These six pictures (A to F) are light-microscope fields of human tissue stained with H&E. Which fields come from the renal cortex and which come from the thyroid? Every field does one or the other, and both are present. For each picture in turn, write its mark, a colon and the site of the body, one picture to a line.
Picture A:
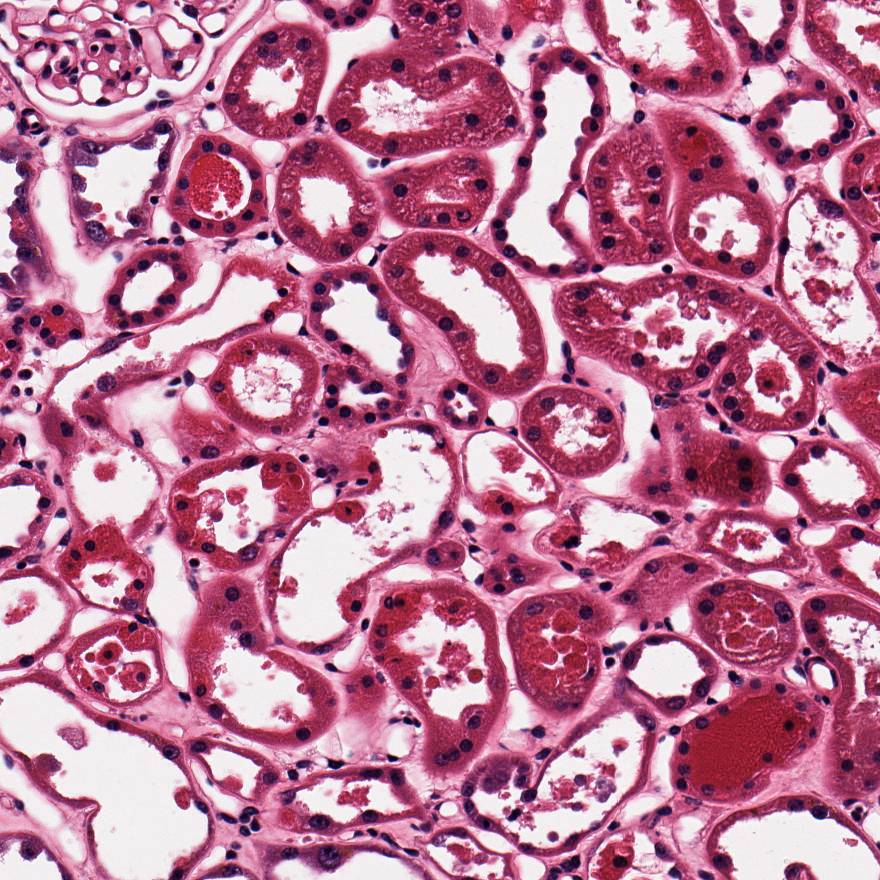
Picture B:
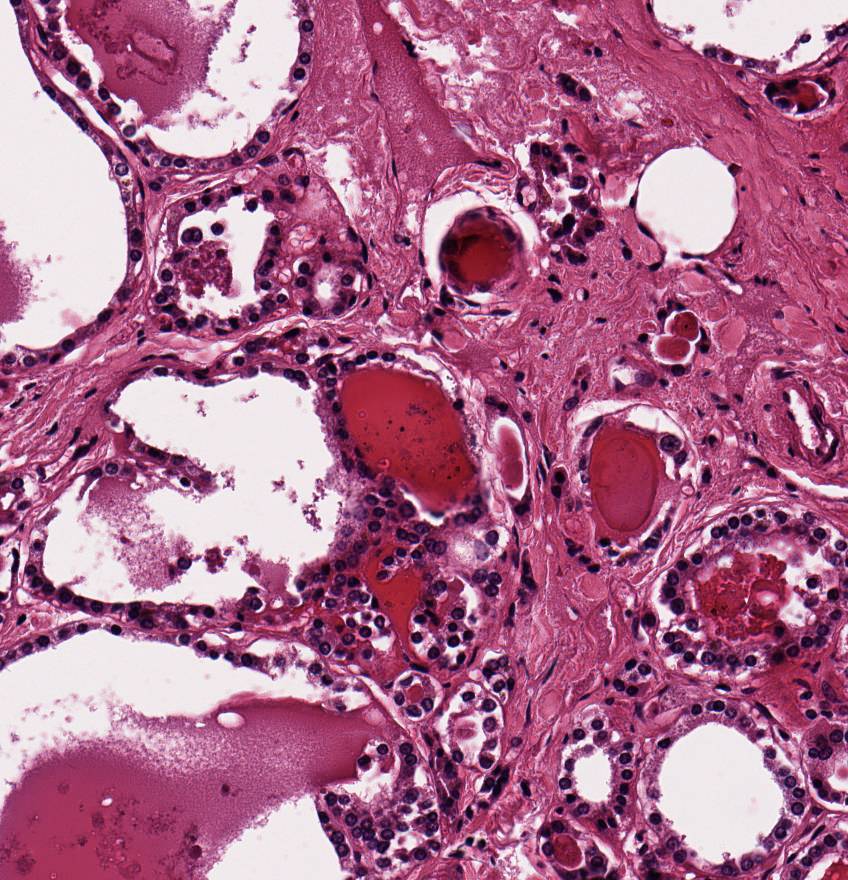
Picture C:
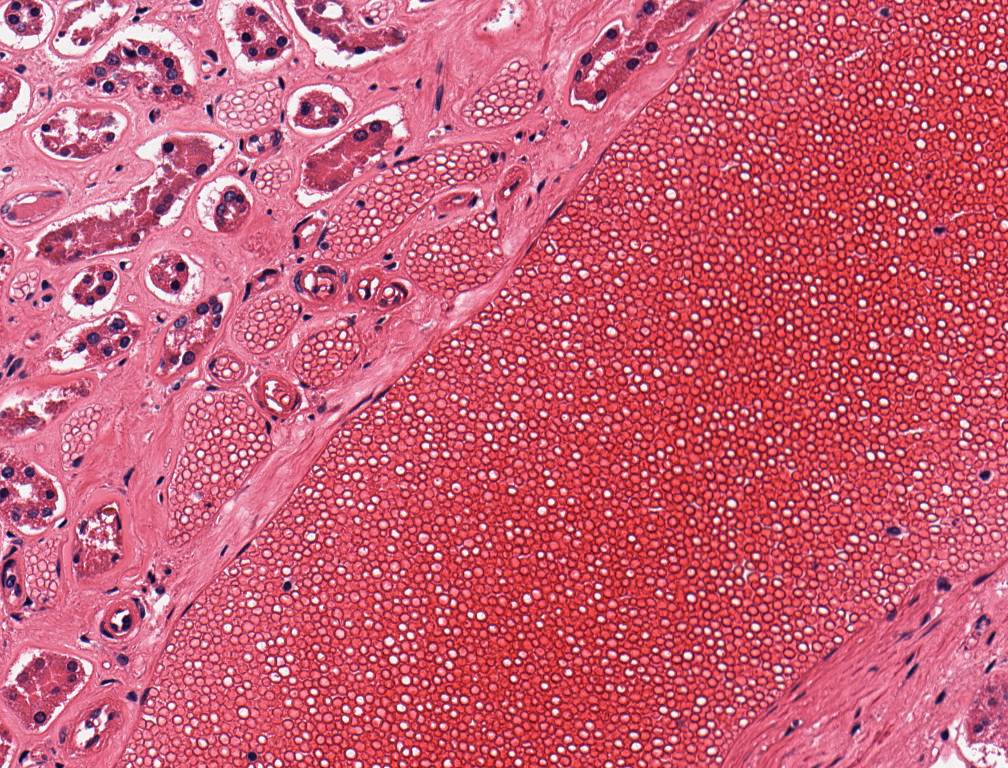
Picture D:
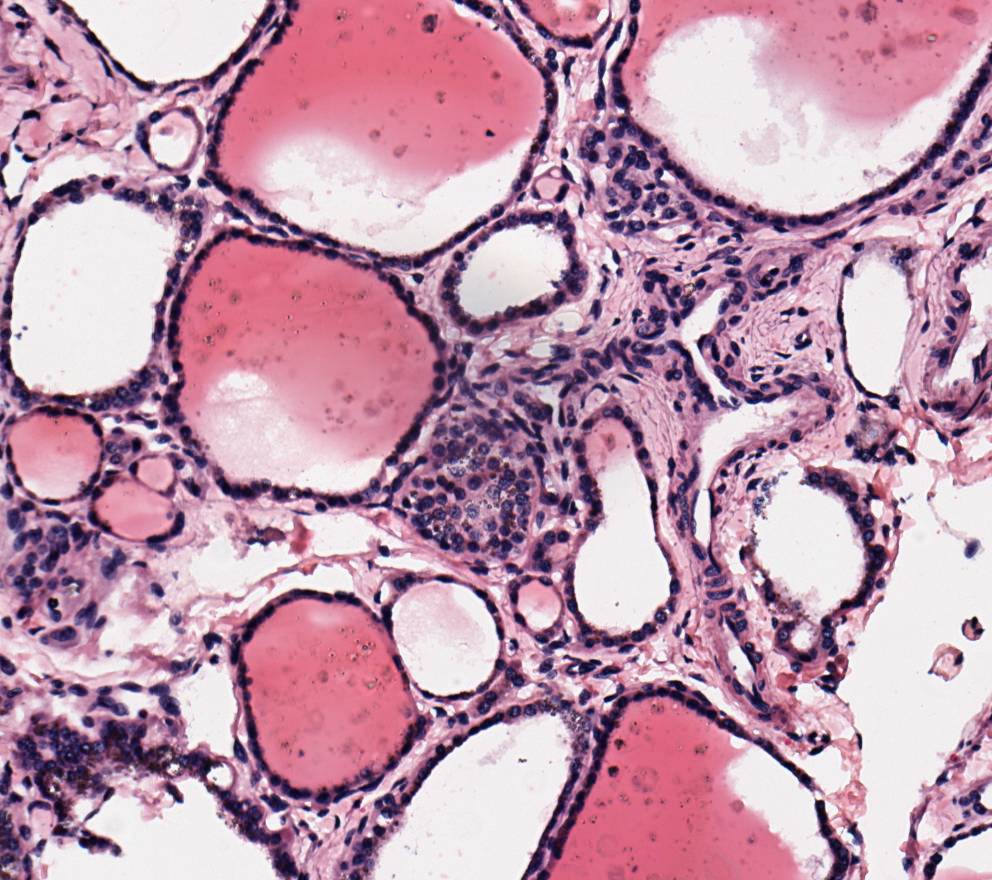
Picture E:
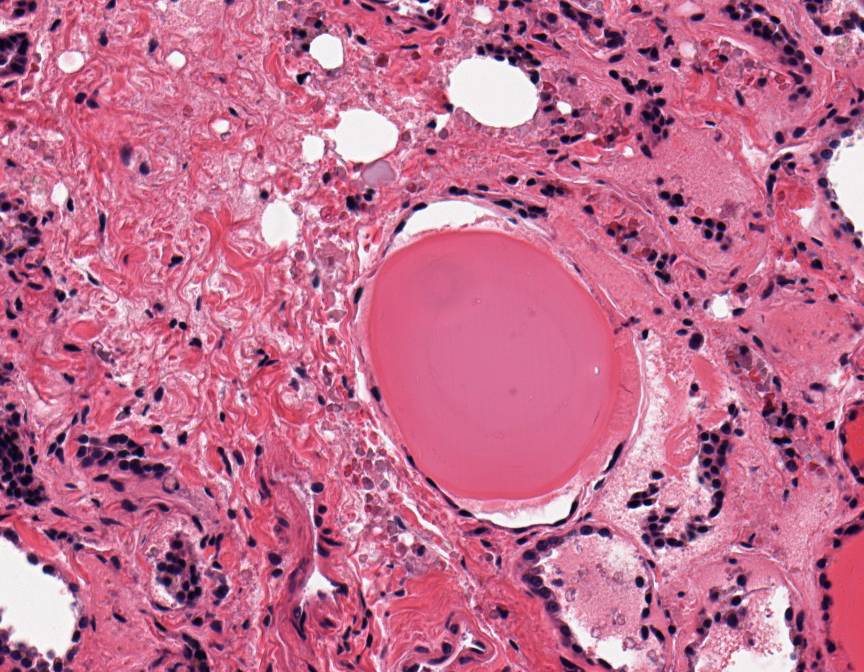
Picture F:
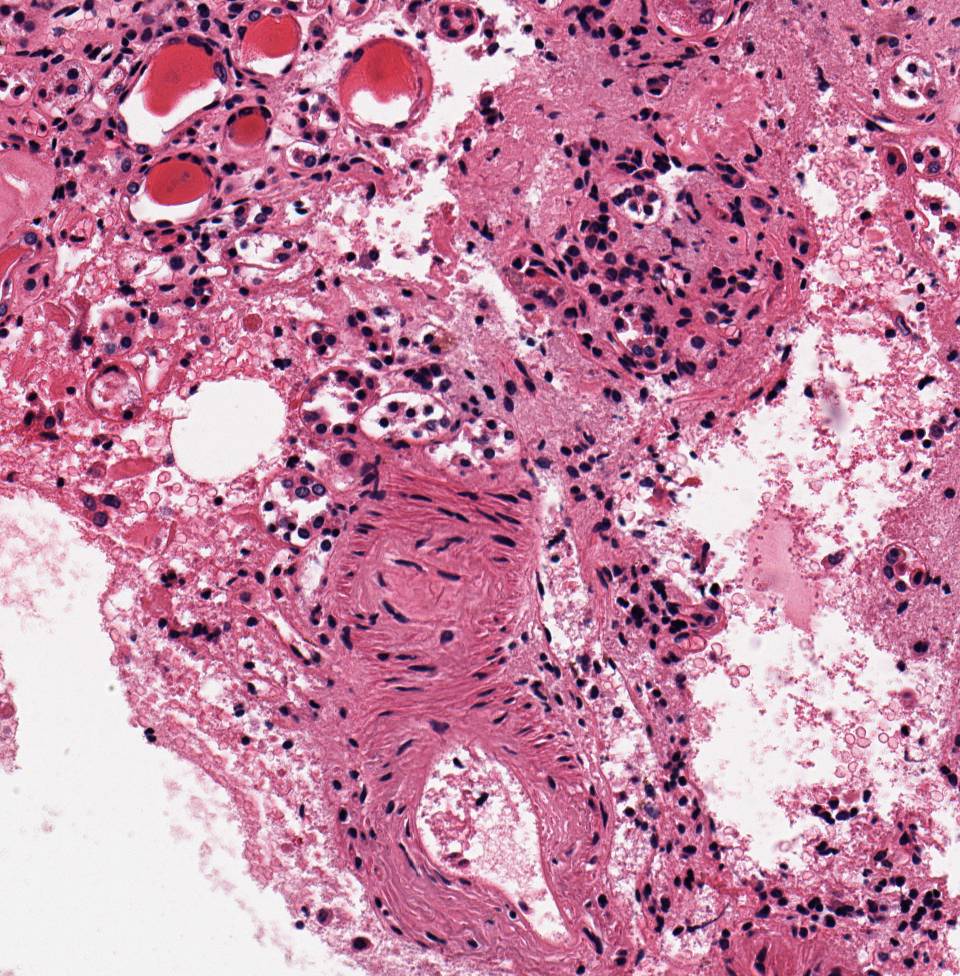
A: renal cortex
B: thyroid
C: renal cortex
D: thyroid
E: thyroid
F: renal cortex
